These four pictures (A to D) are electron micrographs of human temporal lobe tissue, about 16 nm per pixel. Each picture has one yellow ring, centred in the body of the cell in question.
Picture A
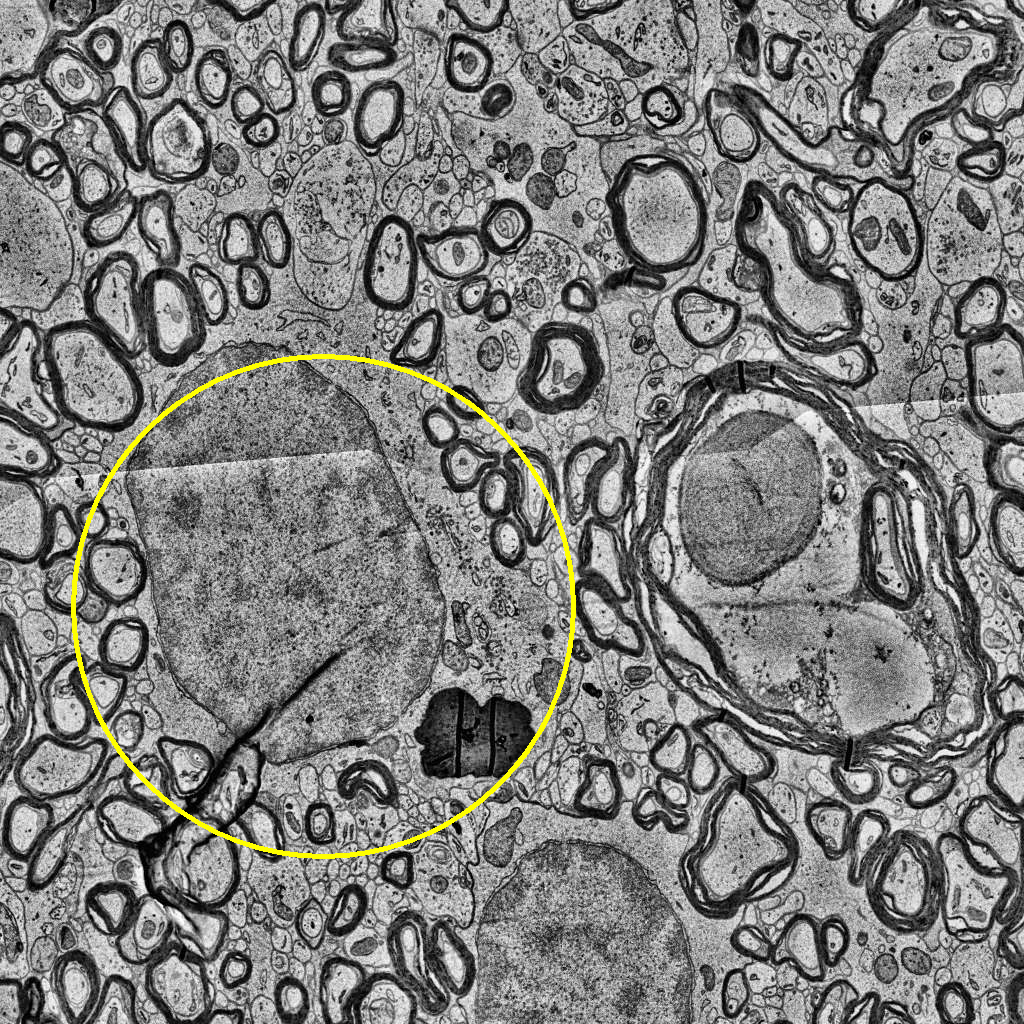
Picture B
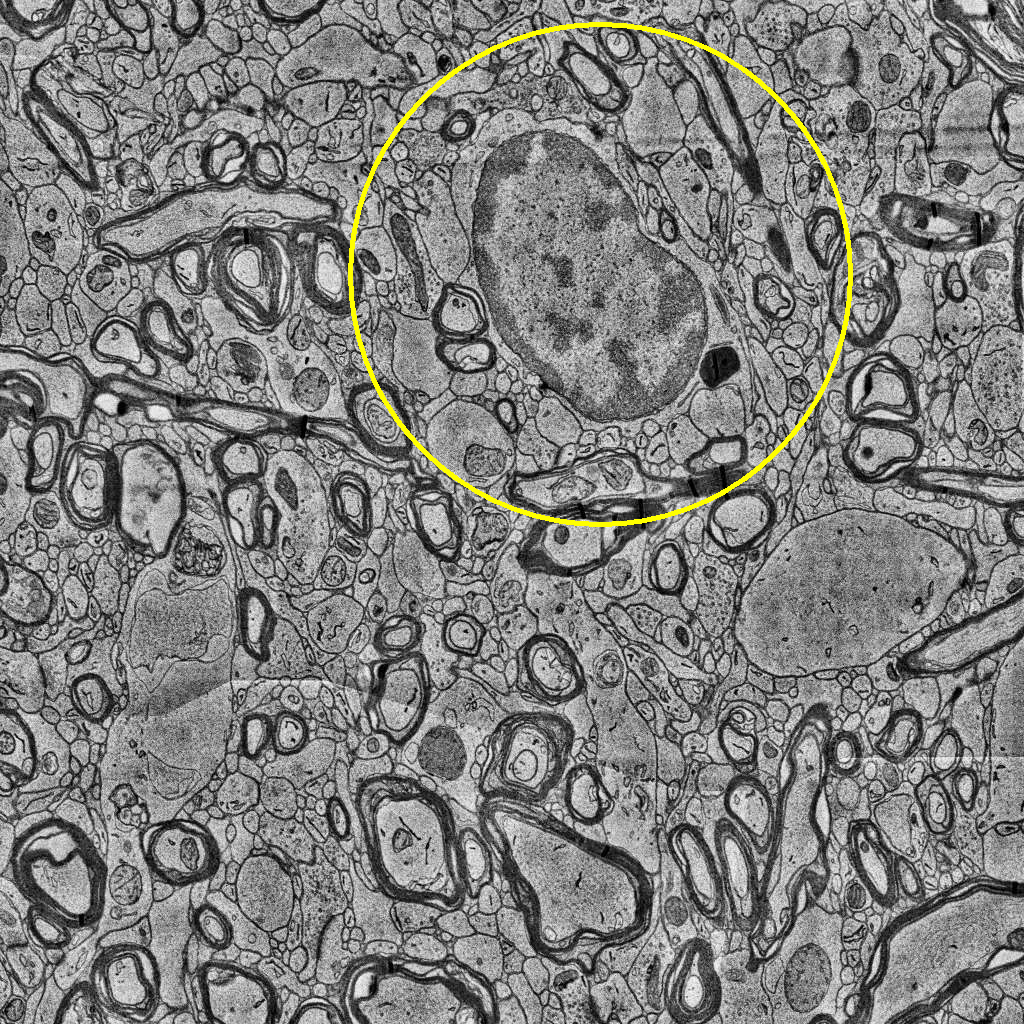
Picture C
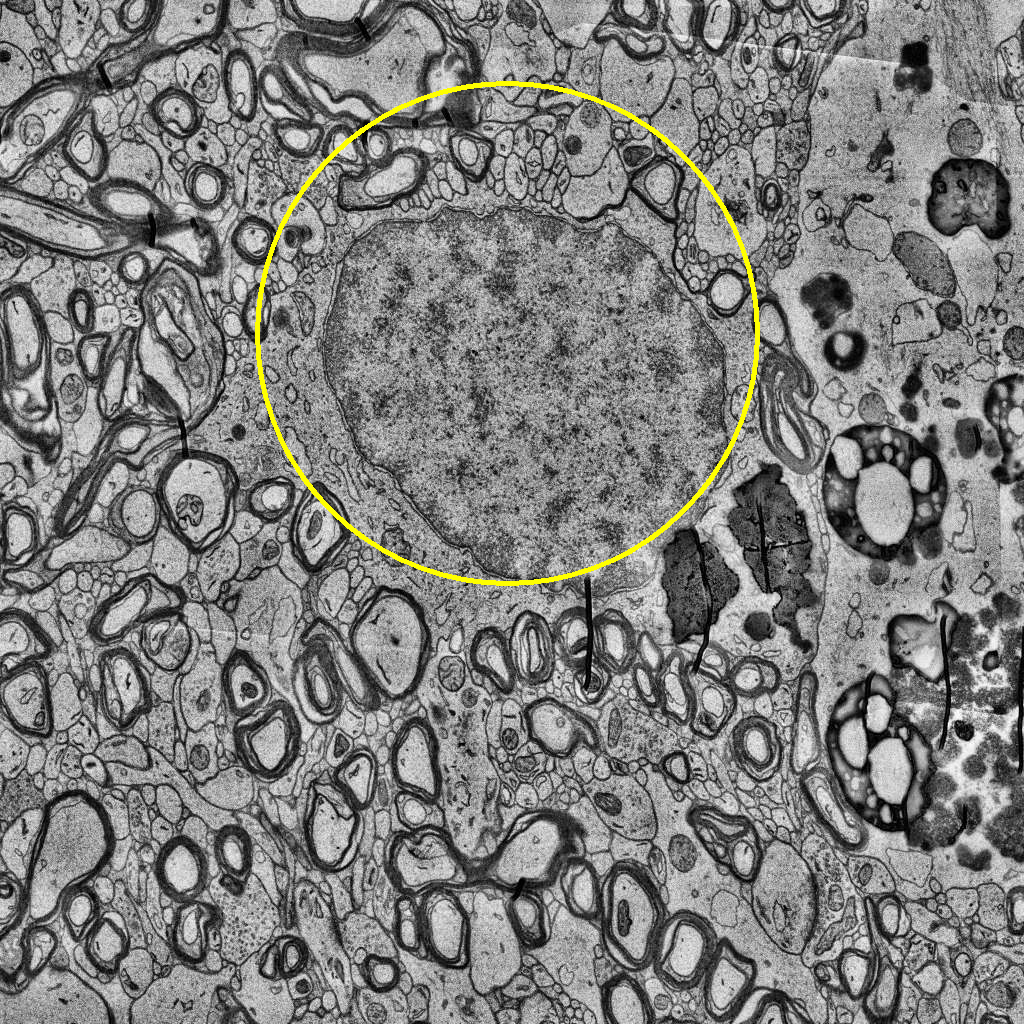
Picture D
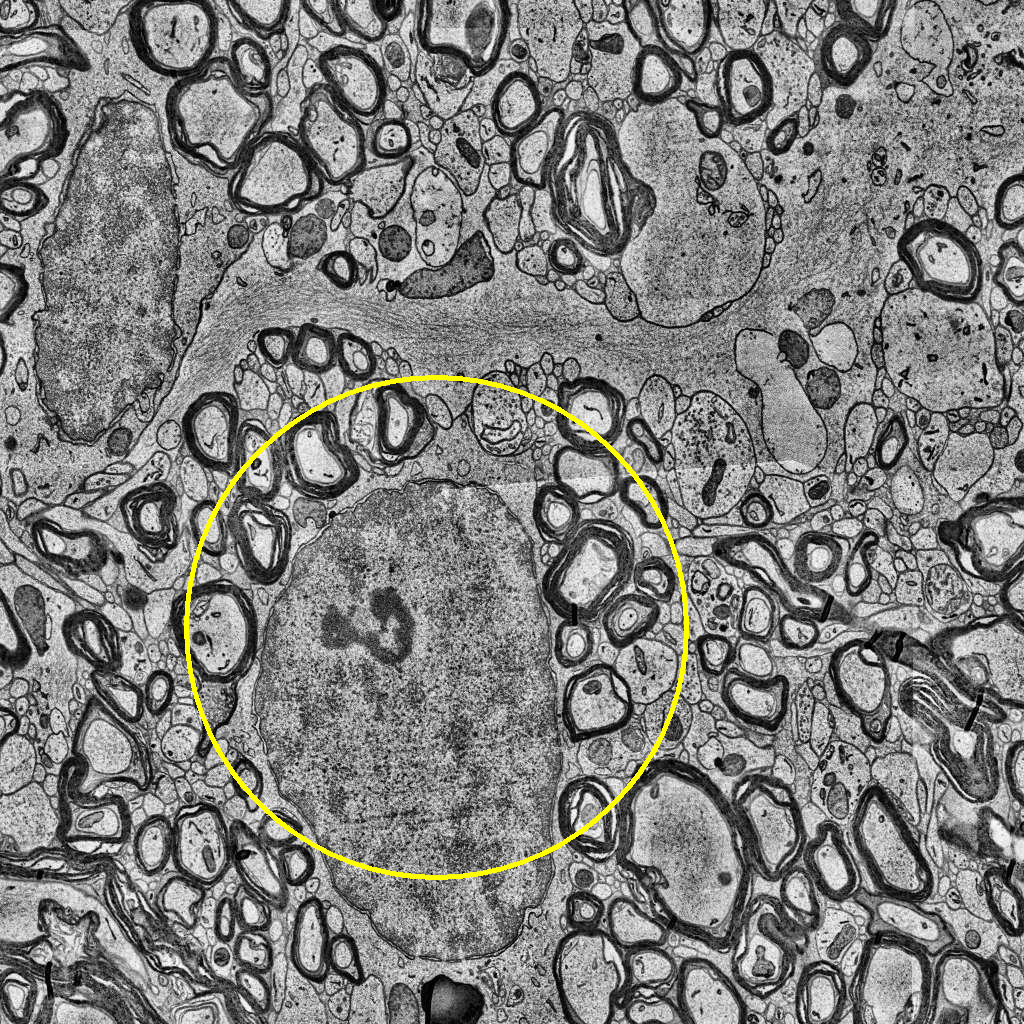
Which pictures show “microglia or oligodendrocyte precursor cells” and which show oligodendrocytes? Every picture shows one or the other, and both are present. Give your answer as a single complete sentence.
Picture B shows a “microglia or oligodendrocyte precursor cell”; pictures A, C and D show oligodendrocytes.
